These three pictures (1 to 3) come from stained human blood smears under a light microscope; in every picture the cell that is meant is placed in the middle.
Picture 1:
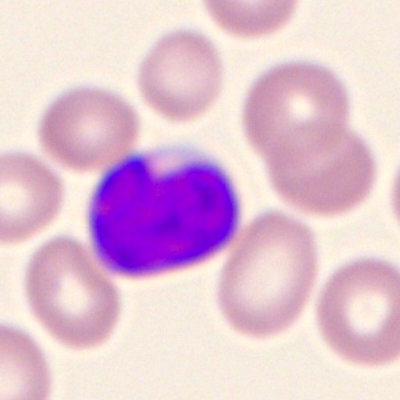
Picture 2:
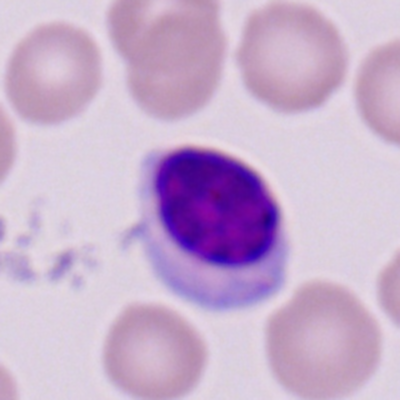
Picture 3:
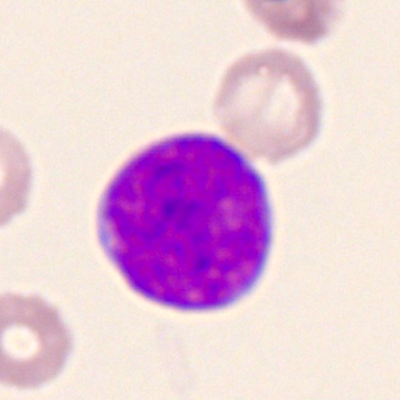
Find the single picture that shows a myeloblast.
3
